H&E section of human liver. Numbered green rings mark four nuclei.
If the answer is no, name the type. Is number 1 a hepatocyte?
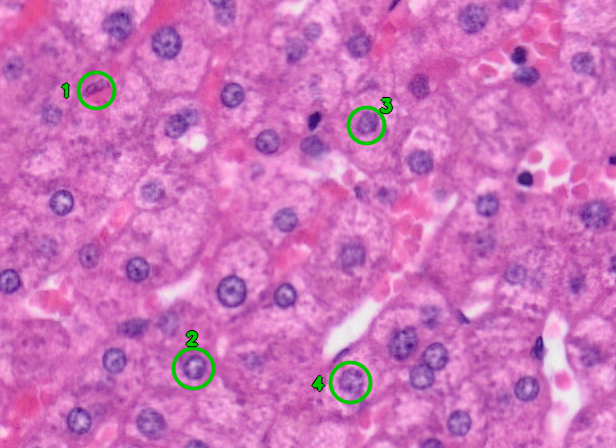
No, it is an endothelial cell.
